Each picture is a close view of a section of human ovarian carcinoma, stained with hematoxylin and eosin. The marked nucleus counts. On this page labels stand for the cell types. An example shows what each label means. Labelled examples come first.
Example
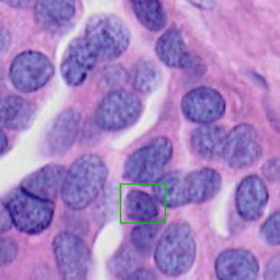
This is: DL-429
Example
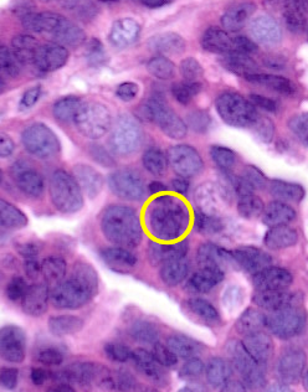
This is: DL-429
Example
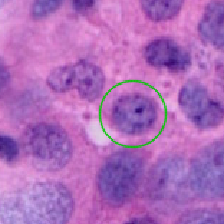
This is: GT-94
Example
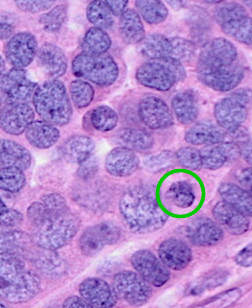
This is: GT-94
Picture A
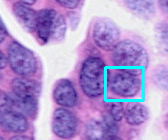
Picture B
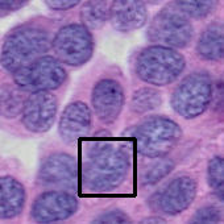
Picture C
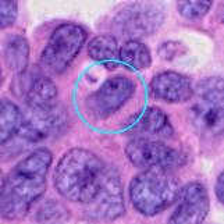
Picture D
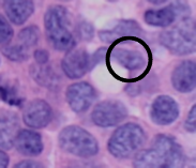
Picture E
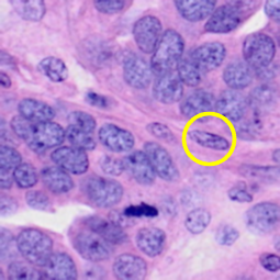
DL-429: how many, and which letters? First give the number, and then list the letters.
4: A, B, C, D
